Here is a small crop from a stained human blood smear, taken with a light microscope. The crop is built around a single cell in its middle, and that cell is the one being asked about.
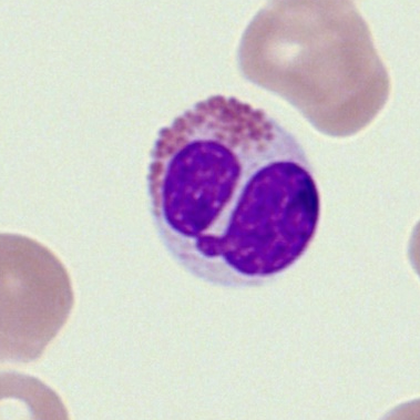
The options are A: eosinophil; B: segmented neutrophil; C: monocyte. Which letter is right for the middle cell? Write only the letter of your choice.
A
